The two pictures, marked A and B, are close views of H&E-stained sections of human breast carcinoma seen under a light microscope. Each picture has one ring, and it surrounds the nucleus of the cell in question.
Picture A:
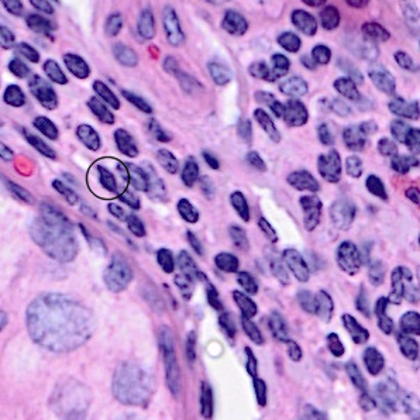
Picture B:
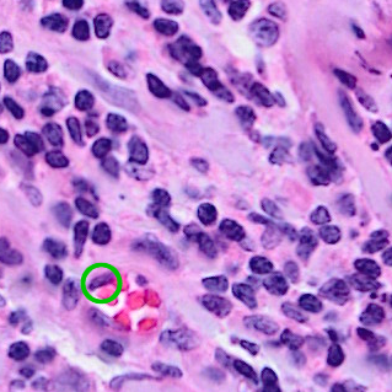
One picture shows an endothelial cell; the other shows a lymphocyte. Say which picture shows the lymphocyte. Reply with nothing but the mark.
A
